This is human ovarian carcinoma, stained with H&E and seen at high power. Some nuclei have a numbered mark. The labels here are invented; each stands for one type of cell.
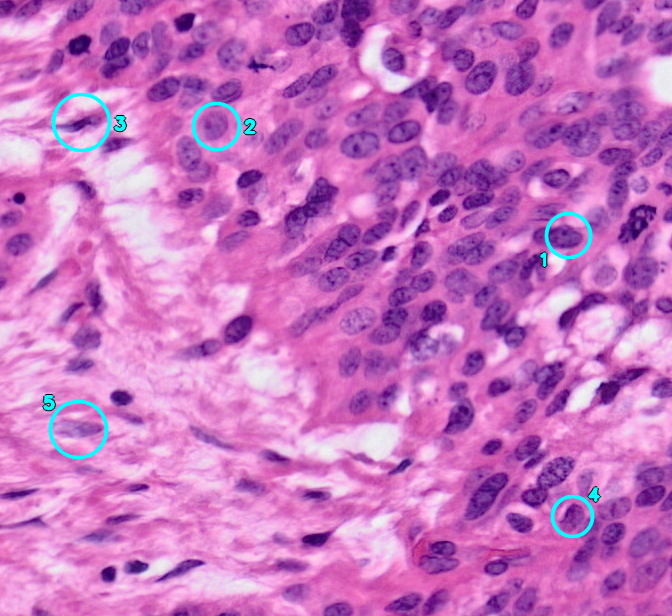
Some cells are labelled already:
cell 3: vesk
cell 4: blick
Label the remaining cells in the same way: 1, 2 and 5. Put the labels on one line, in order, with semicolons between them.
blick; blick; vesk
